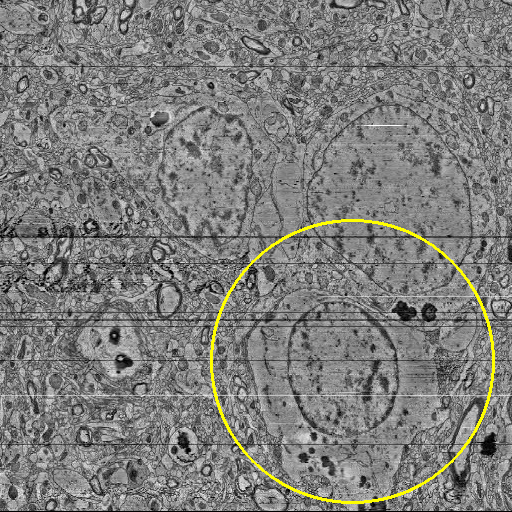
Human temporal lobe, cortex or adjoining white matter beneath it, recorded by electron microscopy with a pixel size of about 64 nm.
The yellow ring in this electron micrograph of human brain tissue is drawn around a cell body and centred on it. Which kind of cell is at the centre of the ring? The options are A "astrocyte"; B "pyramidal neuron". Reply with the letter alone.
A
